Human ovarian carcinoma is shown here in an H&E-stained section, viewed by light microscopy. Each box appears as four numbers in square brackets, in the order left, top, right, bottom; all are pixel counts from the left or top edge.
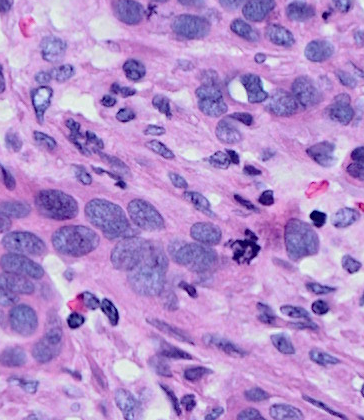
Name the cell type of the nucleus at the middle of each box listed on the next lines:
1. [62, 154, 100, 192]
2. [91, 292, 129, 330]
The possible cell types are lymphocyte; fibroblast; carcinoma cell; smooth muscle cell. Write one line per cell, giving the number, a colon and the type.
1: fibroblast
2: lymphocyte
